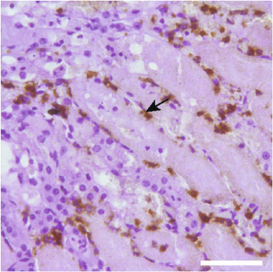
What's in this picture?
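The brown cells are small, lie singly or in clusters and form streaks between the tubules. The tubules are disorganized: many tubular profiles are filled with pale pink homogeneous material in which nuclei are scarce, and the normal regular arrangement of tubules with open lumens is lost. Blue-purple nuclei are crowded in the spaces between tubules, beside the brown cells. The surrounding cytoplasm stains pale pink to violet.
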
